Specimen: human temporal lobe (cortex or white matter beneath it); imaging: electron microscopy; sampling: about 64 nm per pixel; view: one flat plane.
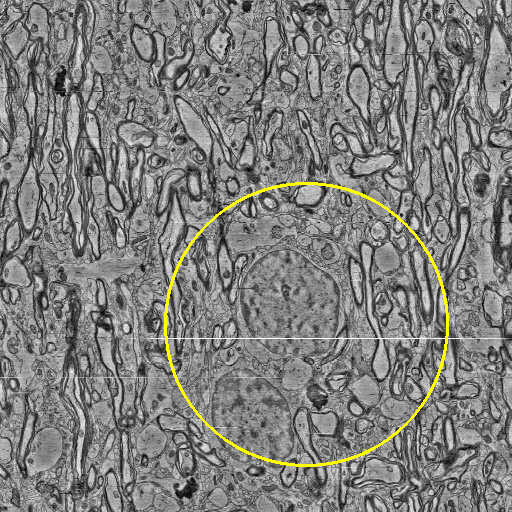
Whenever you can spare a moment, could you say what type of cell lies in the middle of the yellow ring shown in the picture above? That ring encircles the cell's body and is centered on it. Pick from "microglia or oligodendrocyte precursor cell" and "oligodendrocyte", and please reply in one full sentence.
The cell whose body sits at the middle of the yellow ring is a microglial cell or oligodendrocyte precursor cell.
